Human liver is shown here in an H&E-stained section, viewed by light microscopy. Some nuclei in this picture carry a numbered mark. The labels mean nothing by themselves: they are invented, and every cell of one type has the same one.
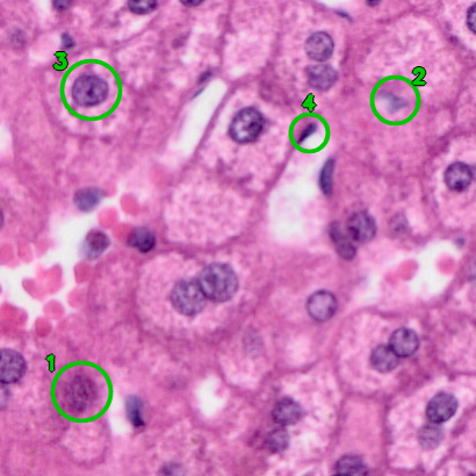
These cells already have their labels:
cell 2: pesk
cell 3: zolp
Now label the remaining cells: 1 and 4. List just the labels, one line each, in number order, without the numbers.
zolp
pesk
